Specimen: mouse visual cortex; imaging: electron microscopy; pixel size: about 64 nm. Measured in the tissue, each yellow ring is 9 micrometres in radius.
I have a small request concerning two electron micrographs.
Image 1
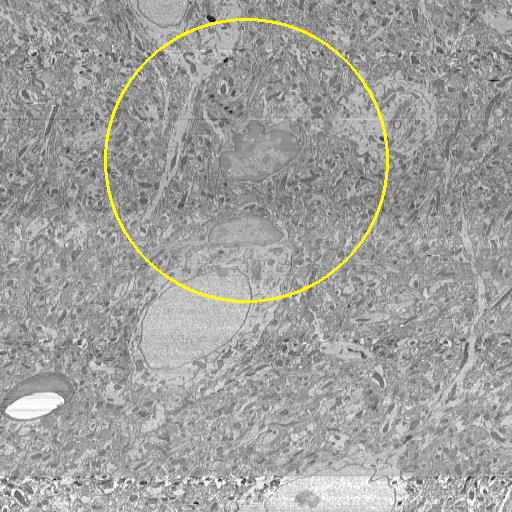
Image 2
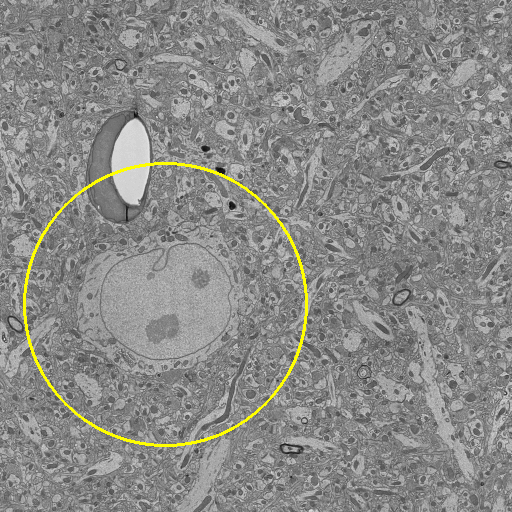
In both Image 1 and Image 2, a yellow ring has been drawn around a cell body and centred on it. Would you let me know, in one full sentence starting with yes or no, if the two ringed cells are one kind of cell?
No, the cells ringed in Image 1 and Image 2 are two kinds of cell.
